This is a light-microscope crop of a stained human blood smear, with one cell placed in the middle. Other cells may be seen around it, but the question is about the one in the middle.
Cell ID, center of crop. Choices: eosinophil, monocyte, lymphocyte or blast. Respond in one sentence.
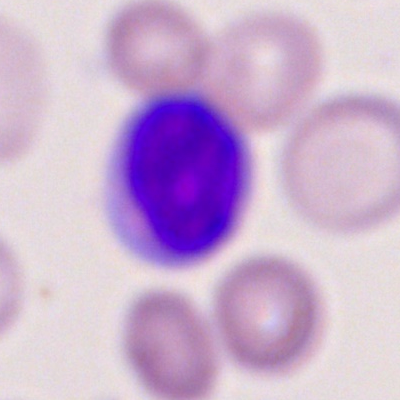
In the crop, the cell of interest at the centre is a lymphocyte.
